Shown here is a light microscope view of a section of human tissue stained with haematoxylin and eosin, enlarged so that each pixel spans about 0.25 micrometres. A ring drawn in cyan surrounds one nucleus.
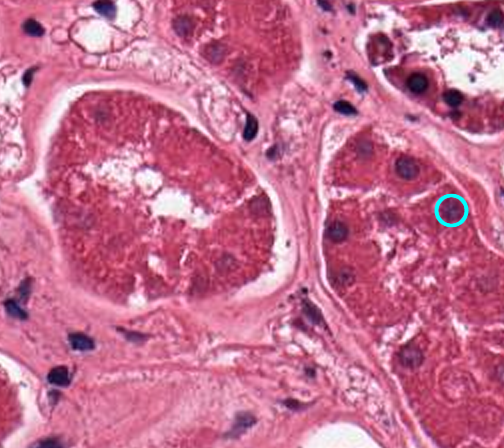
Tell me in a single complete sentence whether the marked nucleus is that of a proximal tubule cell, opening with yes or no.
Yes, belonging to a proximal tubule cell is the marked nucleus.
